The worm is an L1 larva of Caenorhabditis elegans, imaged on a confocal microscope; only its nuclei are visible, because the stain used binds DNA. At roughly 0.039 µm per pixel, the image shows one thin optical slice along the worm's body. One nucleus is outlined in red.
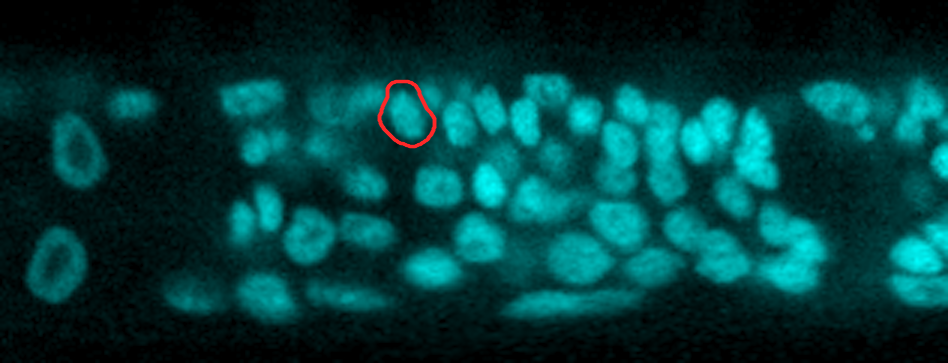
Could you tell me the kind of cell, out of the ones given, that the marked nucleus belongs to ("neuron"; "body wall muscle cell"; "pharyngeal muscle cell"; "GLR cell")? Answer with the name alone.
body wall muscle cell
